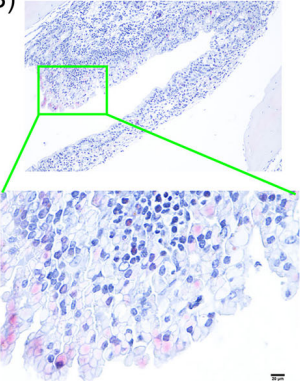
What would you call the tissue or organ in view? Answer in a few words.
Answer: Mucosa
